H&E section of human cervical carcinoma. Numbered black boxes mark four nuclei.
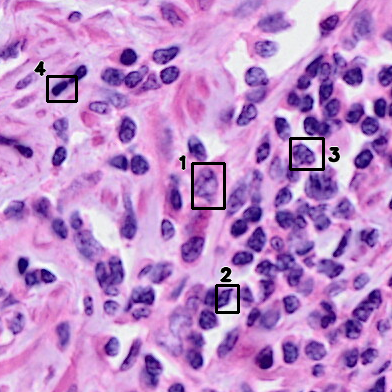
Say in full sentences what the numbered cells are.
Cell 1 is a macrophage or monocyte, cell 2 is a lymphocyte, cell 3 is a lymphocyte and cell 4 is a lymphocyte.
